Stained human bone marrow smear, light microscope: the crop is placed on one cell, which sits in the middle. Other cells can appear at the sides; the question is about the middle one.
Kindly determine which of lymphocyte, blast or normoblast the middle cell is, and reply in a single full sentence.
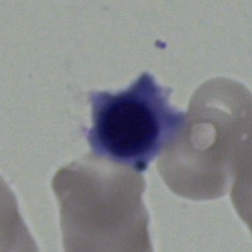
The cell in the middle of the field of view is a normoblast.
